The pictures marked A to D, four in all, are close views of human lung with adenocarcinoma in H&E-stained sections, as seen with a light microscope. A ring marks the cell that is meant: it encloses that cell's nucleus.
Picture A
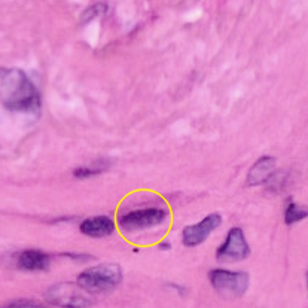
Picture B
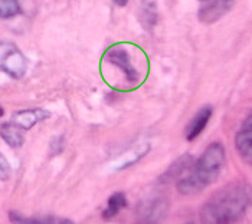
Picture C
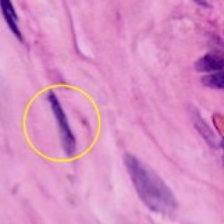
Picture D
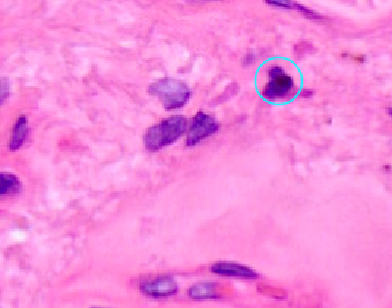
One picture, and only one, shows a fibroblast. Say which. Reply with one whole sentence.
The cell in picture C is the fibroblast.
